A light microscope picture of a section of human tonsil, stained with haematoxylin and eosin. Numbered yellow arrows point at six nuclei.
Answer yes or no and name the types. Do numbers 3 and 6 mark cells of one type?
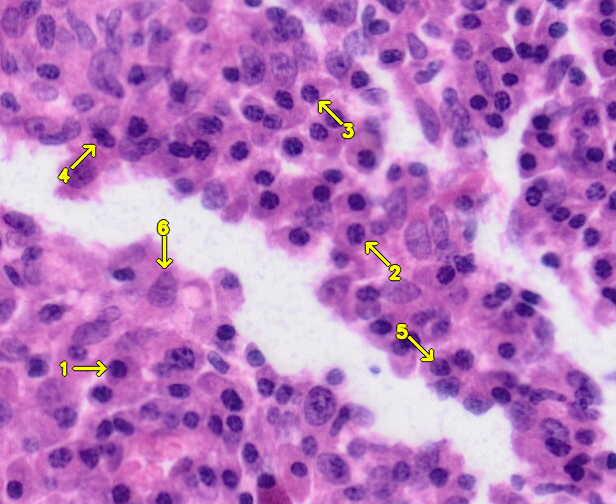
No, as for cell 3, it is a plasma cell, and cell 6 is a squamous epithelial cell.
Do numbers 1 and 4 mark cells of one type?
No, unlike cell 4, which is a squamous epithelial cell, cell 1 is a plasma cell.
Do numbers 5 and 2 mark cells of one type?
Yes, the cell labelled 5 and the cell labelled 2 are both plasma cells.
